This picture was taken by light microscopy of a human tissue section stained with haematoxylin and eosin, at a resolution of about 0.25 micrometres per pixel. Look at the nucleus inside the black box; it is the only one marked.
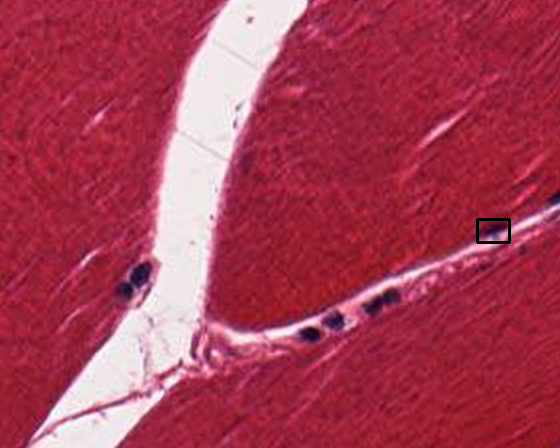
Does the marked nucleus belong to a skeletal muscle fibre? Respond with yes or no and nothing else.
yes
